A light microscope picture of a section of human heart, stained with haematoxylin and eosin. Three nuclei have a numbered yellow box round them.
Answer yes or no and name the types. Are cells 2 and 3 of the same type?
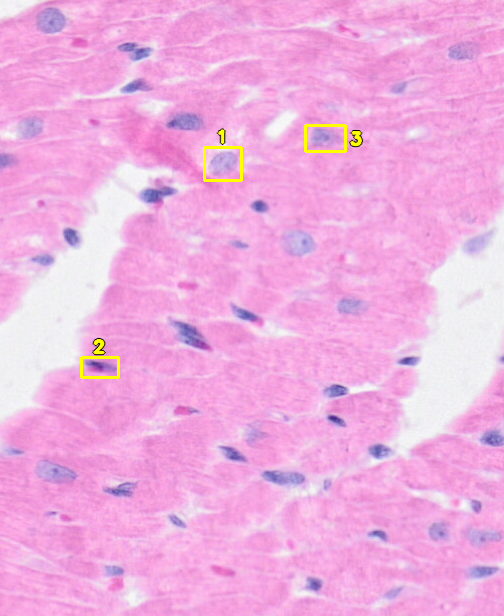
No, cell 2 is an endothelial cell and cell 3 is a cardiomyocyte.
